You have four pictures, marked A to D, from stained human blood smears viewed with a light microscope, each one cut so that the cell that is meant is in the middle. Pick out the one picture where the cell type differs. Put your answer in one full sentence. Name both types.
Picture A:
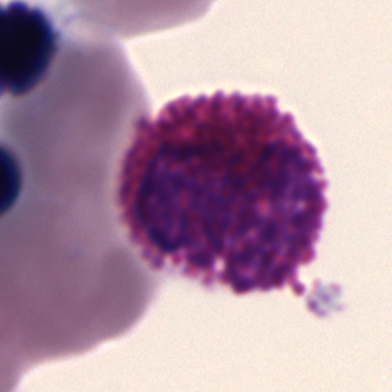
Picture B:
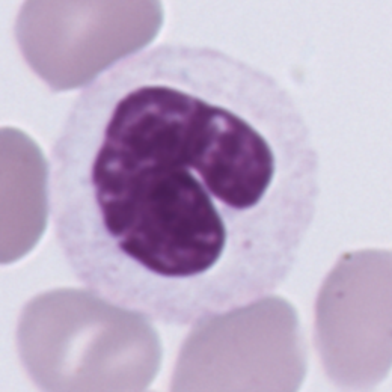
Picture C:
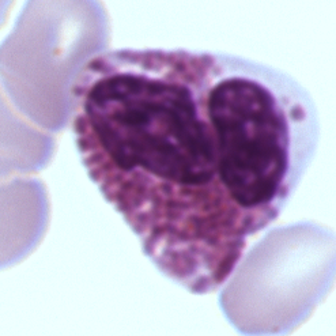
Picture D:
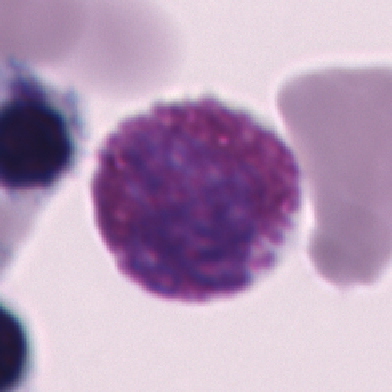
The others show eosinophils, but picture B shows a band neutrophil.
